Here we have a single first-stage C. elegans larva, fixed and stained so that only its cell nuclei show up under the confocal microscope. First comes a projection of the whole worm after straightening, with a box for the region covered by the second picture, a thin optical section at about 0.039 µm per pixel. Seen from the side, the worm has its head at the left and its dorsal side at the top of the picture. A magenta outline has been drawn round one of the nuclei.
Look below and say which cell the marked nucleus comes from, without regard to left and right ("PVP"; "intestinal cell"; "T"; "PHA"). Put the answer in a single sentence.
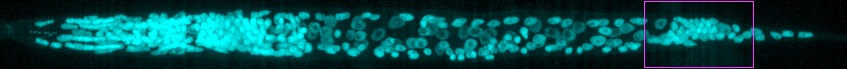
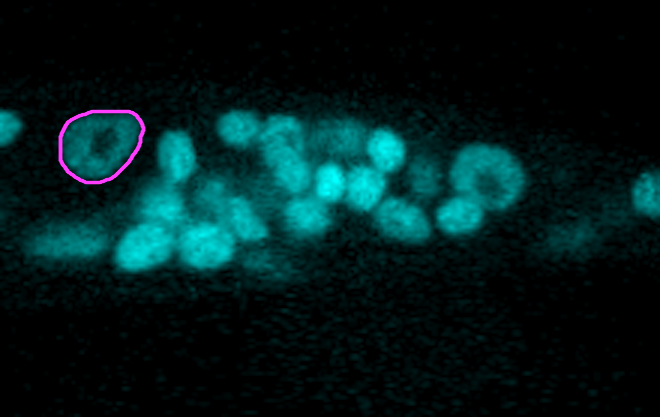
It is the nucleus of an intestinal cell.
